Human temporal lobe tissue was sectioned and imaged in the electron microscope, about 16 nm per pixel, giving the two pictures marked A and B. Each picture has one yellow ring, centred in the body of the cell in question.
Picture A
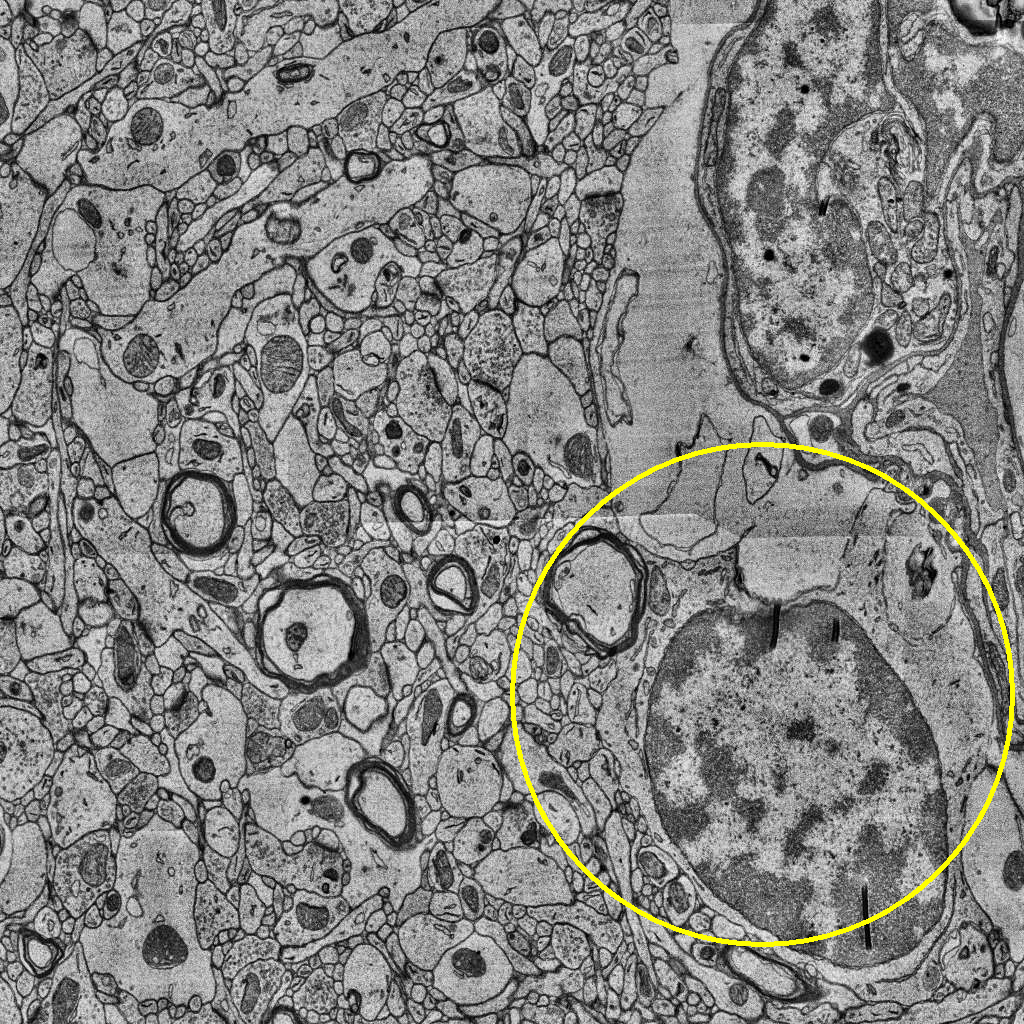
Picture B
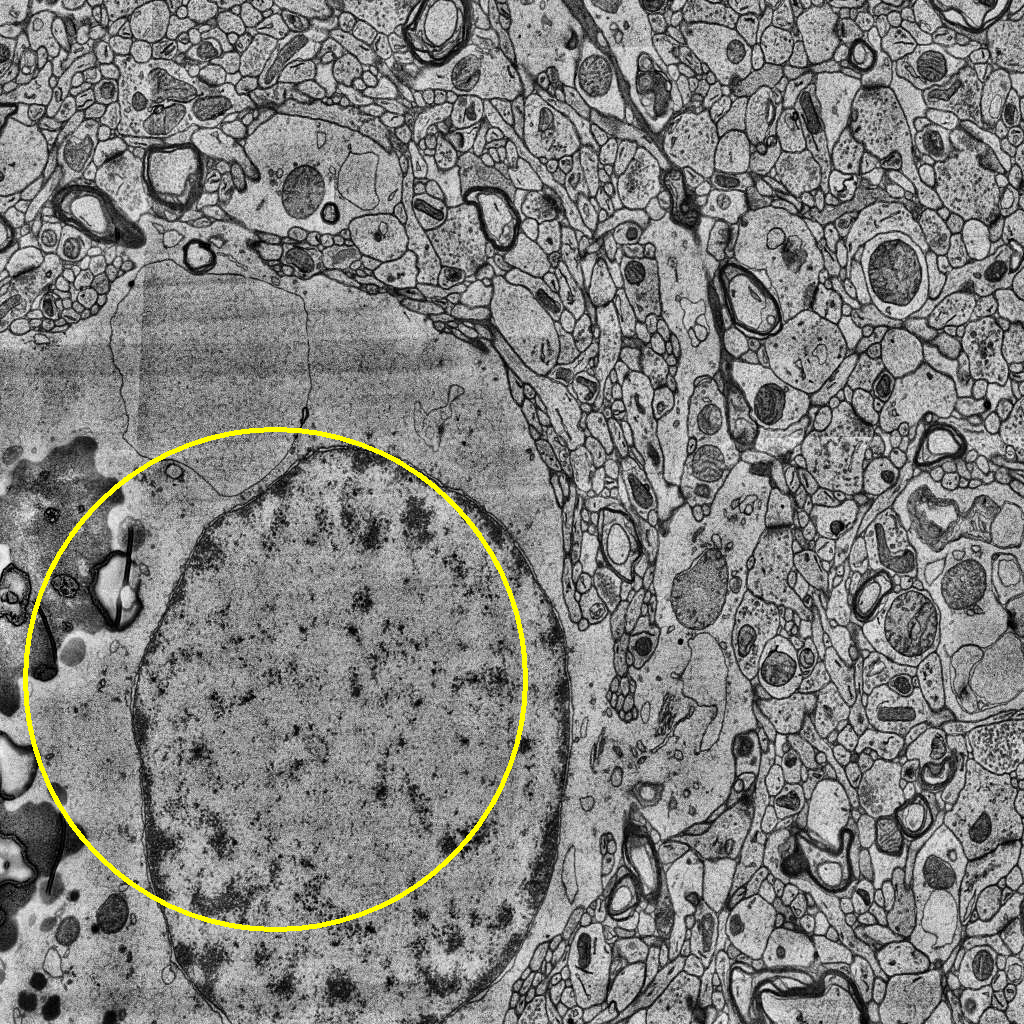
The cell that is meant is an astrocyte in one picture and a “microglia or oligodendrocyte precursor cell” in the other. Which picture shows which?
In picture A the cell is a “microglia or oligodendrocyte precursor cell”; in picture B, an astrocyte.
